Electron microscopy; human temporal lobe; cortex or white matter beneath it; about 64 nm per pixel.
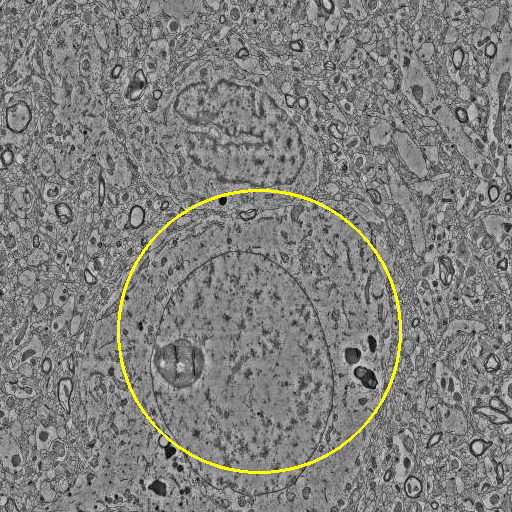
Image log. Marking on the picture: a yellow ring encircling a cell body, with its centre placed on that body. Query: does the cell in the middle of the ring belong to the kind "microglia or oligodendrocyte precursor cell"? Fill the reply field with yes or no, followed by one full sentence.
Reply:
No, the cell at the centre of the yellow ring in this picture belongs to a different kind.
